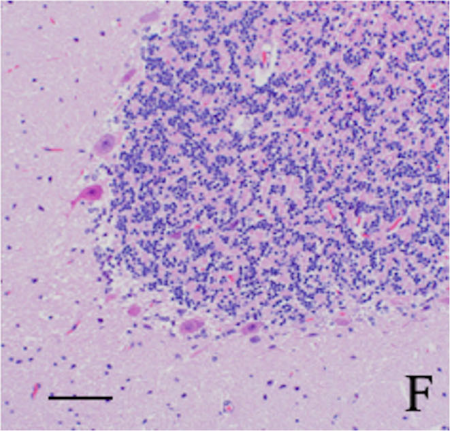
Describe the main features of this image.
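This is cerebellar cortex with its layers intact. A dense mass of small, round, dark purple nuclei packed close together makes up the granular layer, with a few small vessels running through it. Along its edge sit several large neurons with abundant pink cytoplasm and a process reaching outward; these are Purkinje cells. Beyond them lies a pale pink, fibrillar layer with only sparse small nuclei scattered through it.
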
